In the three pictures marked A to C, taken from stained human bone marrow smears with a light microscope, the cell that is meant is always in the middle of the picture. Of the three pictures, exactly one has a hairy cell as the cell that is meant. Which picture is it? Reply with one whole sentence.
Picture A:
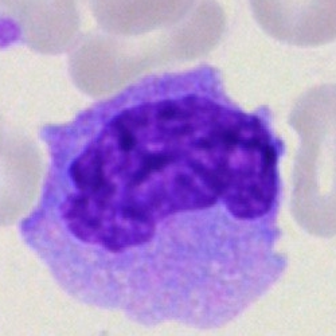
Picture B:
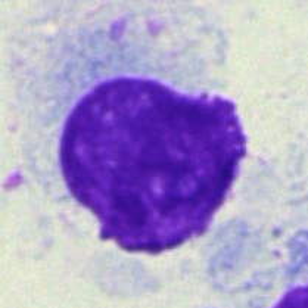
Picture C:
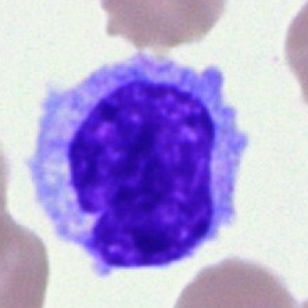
Picture B is the one that shows the hairy cell.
